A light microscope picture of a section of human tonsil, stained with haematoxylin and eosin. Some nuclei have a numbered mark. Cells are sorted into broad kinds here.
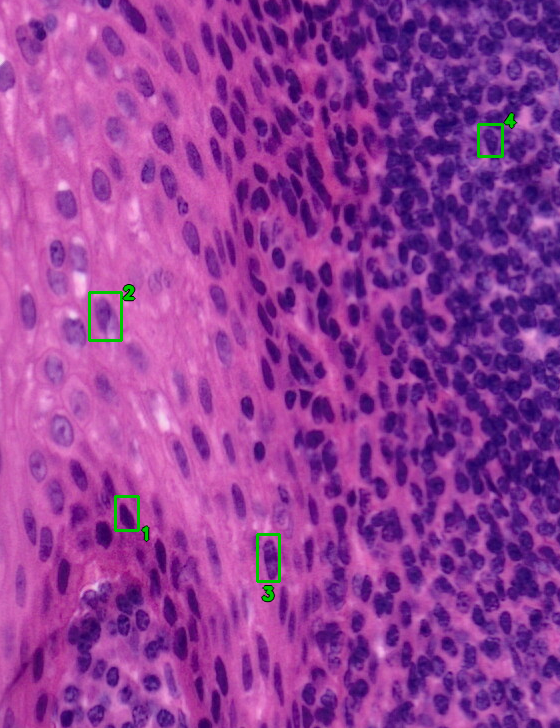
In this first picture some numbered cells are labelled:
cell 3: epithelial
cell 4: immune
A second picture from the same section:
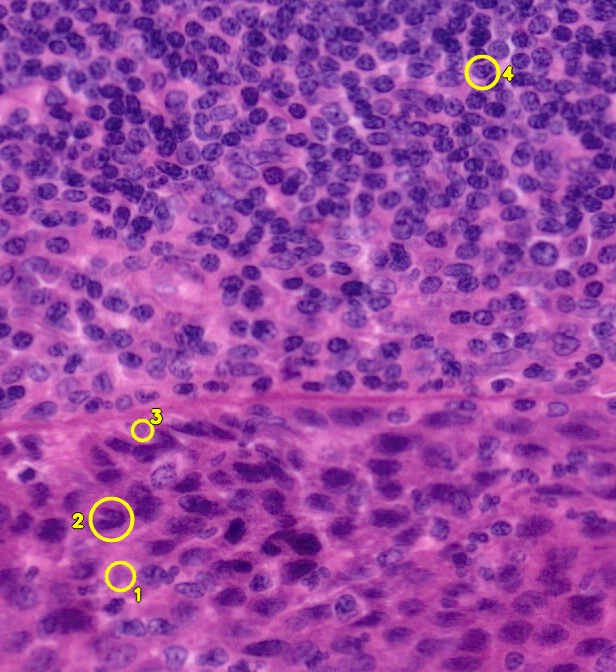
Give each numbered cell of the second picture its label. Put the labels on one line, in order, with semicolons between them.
epithelial; epithelial; epithelial; immune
